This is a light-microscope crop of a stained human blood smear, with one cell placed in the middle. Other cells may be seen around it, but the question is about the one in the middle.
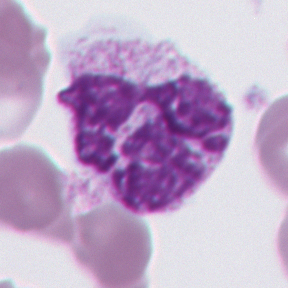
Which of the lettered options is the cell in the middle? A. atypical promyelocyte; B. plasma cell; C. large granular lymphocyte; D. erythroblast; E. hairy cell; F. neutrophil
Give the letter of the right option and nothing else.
F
